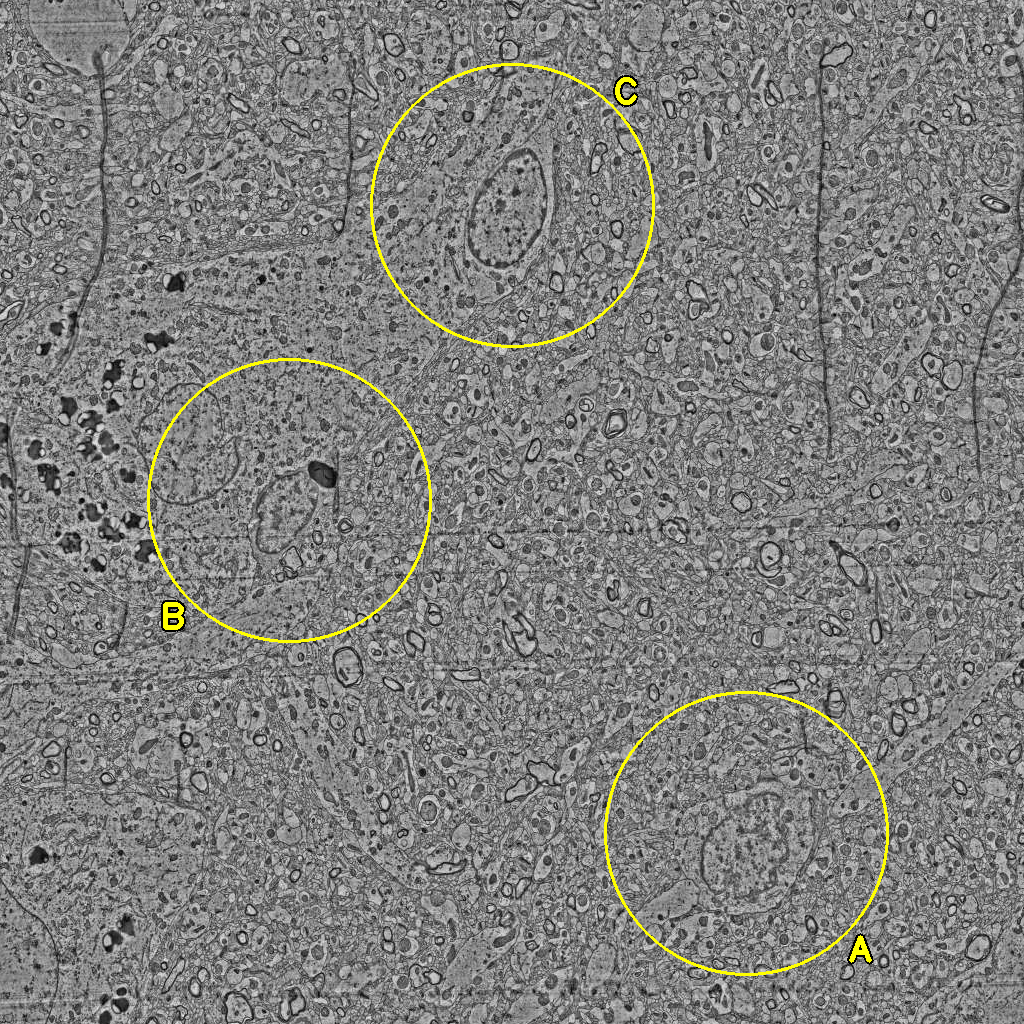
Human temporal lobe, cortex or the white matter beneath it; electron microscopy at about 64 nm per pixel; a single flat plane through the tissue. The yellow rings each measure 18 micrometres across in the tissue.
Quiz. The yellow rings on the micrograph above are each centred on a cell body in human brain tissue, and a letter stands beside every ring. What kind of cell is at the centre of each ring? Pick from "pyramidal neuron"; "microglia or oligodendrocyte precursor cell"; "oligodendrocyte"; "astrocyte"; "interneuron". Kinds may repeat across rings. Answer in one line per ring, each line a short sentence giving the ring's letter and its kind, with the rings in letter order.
The ring labelled A has an interneuron at its centre.
The ring labelled B has an oligodendrocyte at its centre.
The ring labelled C has a microglial cell or oligodendrocyte precursor cell at its centre.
